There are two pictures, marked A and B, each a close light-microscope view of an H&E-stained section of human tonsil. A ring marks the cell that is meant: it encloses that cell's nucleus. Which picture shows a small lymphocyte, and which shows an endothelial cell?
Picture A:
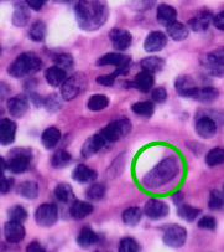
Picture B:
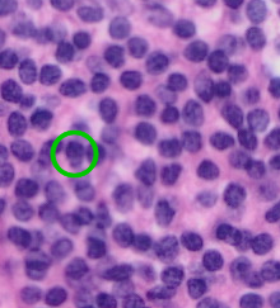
A: endothelial cell
B: small lymphocyte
